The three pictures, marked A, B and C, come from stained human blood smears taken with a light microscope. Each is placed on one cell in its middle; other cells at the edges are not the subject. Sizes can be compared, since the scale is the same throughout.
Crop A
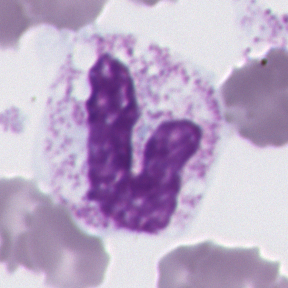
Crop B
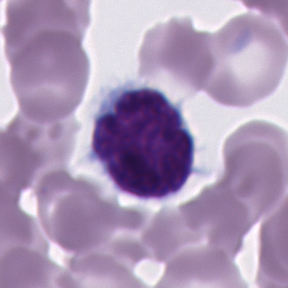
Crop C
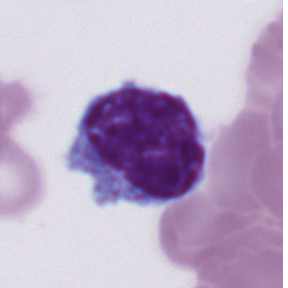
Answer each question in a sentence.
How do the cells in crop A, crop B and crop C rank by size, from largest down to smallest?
The order is A, C, B, beginning with the largest.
